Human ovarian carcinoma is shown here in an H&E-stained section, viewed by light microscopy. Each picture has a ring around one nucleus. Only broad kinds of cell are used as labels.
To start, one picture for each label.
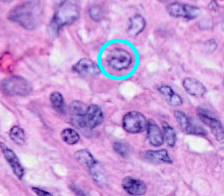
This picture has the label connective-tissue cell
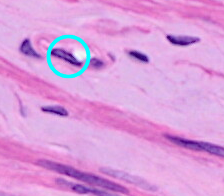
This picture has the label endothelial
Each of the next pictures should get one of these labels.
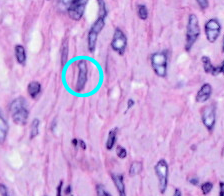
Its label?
connective-tissue cell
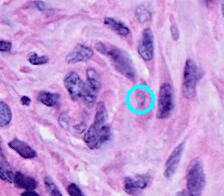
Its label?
connective-tissue cell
